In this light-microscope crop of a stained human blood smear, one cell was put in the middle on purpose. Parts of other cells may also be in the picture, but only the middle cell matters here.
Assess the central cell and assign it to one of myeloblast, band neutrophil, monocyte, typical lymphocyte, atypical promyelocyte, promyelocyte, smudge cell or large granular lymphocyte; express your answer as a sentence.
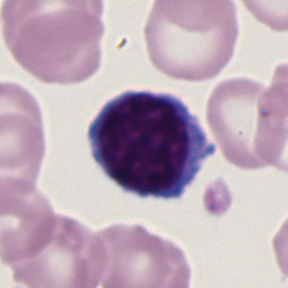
The central cell shown in this smear crop is a typical lymphocyte.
